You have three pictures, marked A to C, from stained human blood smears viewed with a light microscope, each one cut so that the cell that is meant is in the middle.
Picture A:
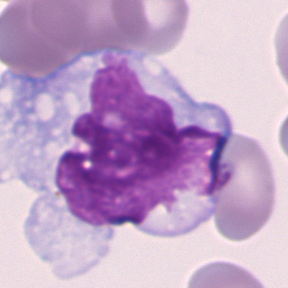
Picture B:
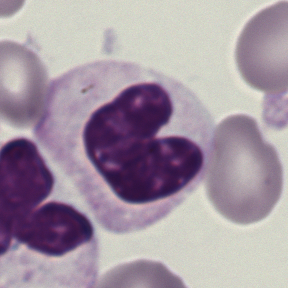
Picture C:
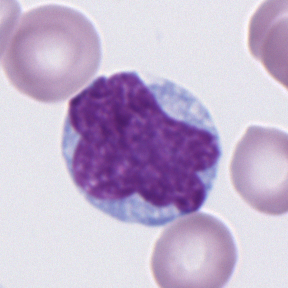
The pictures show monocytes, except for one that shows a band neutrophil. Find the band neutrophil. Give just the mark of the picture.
B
